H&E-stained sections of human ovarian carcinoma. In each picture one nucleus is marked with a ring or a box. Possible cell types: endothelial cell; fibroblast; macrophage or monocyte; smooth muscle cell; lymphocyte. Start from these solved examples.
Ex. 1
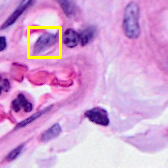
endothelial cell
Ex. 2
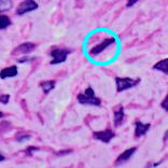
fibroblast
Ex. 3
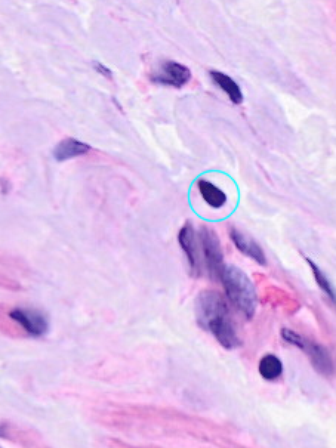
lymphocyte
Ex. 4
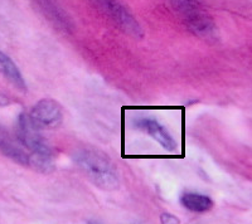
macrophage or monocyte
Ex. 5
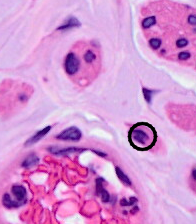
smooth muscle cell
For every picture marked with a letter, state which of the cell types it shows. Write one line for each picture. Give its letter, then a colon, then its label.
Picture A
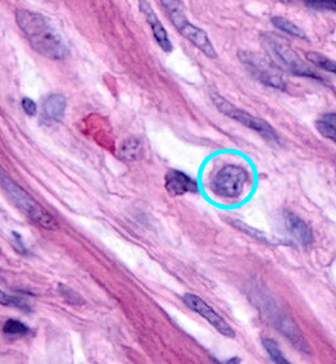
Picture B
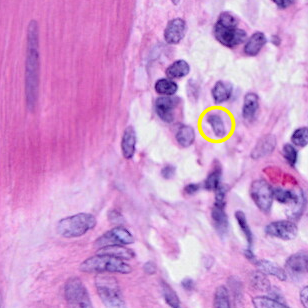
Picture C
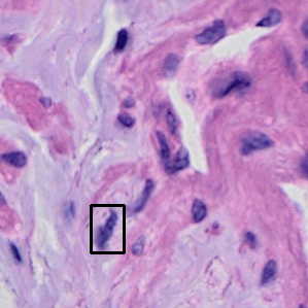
A: macrophage or monocyte
B: macrophage or monocyte
C: macrophage or monocyte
